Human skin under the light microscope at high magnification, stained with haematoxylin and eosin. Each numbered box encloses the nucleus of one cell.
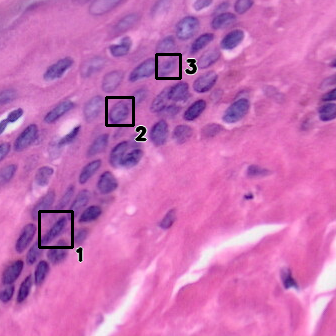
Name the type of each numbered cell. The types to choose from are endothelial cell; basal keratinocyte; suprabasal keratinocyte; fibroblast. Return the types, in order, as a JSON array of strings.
["basal keratinocyte", "suprabasal keratinocyte", "suprabasal keratinocyte"]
